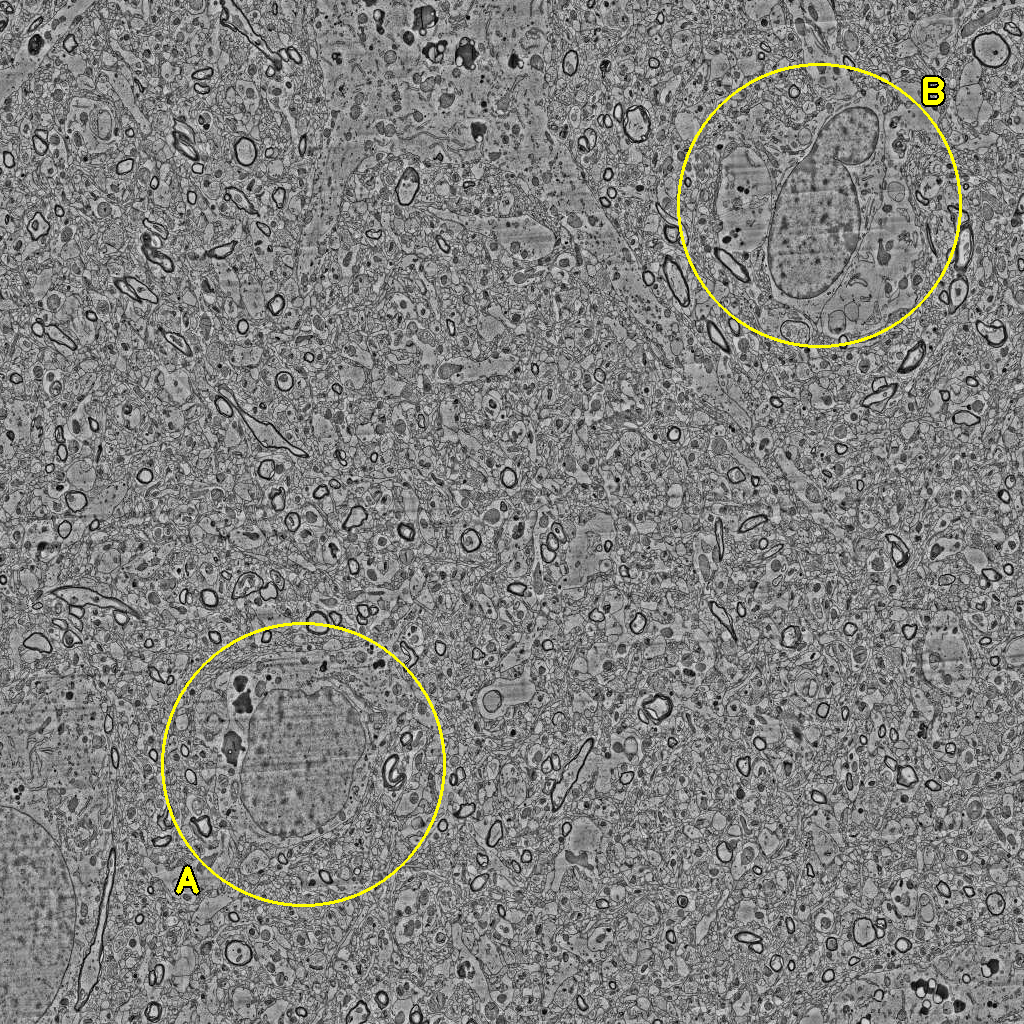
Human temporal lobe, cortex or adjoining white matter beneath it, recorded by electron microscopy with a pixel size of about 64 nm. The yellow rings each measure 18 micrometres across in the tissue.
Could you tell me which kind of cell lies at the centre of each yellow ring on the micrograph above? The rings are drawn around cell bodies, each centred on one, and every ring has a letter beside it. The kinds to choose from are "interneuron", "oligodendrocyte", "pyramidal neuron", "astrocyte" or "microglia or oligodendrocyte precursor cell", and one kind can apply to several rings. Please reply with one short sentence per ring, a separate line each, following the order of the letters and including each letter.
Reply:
Ring A circles an interneuron.
Ring B circles a microglial cell or oligodendrocyte precursor cell.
